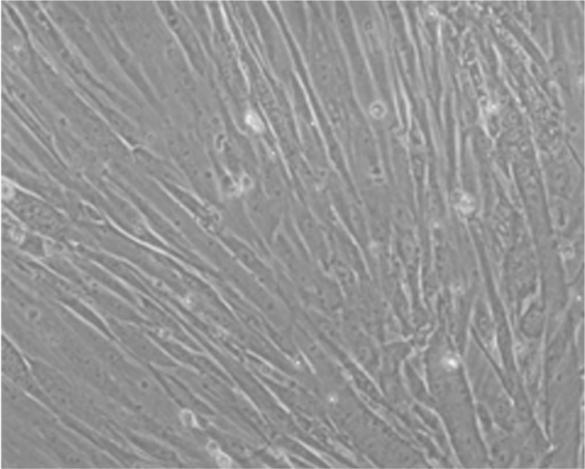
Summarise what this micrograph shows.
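The cells are aligned in long, roughly parallel streaks running mostly diagonally across the field. Almost no empty background is left between them, so the surface appears nearly fully covered. Only a few small, rounded, bright-edged cells stand out against the flat elongated ones. The dense, aligned sheet of flat cells suggests a healthy, near-confluent culture.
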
